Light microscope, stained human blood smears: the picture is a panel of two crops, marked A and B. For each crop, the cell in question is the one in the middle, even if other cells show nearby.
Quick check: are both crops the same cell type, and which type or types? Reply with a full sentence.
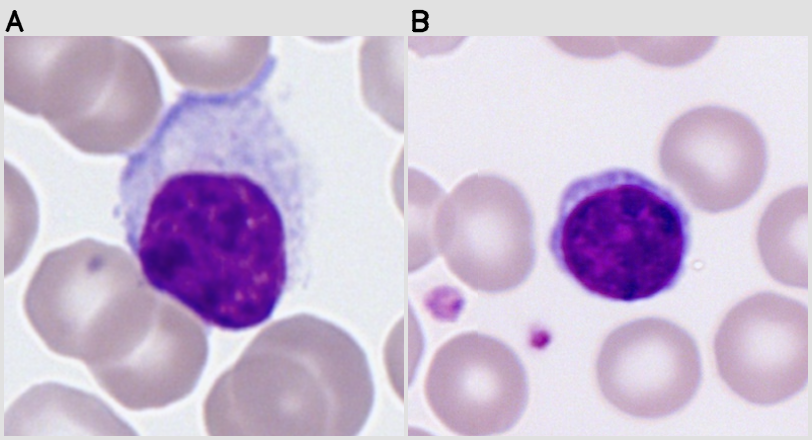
Yes, the cells placed at the centre of both crops are lymphocytes.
